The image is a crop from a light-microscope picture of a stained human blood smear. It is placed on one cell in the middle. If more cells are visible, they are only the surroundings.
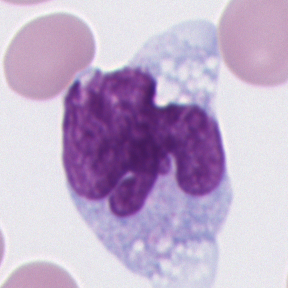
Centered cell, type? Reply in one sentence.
In this crop, the cell at the very middle is a monocyte.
